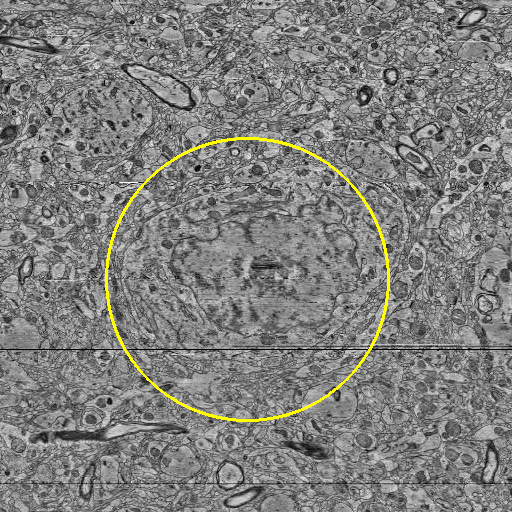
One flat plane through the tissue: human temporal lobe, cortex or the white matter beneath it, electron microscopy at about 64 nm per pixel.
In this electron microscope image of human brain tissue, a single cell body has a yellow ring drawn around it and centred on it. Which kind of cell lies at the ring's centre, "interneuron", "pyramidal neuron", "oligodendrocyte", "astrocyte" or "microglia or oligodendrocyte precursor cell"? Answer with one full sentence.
It is an interneuron whose cell body lies at the centre of the yellow ring here.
